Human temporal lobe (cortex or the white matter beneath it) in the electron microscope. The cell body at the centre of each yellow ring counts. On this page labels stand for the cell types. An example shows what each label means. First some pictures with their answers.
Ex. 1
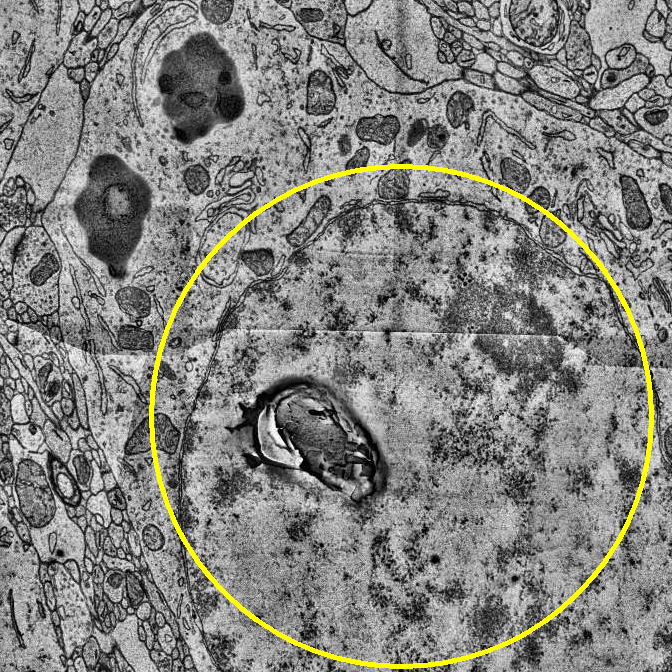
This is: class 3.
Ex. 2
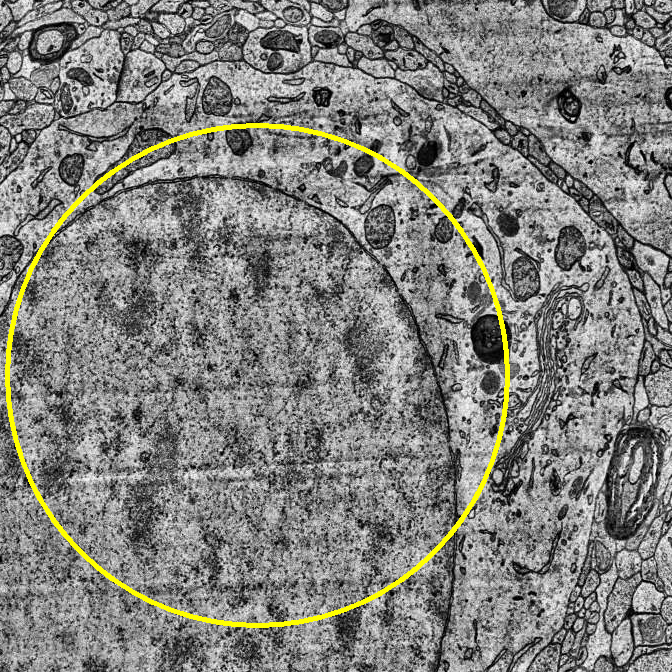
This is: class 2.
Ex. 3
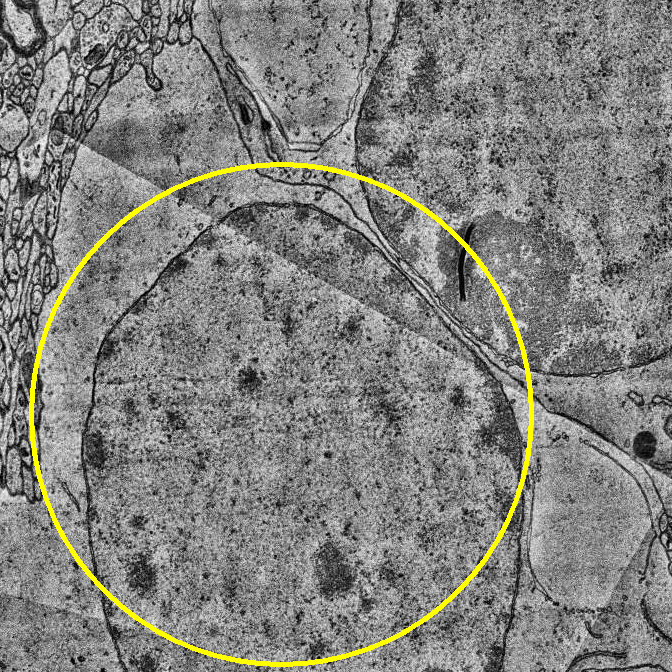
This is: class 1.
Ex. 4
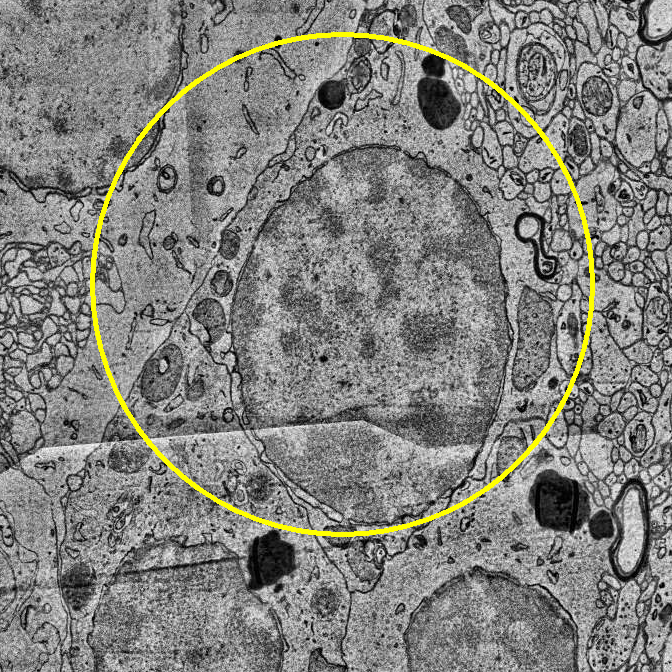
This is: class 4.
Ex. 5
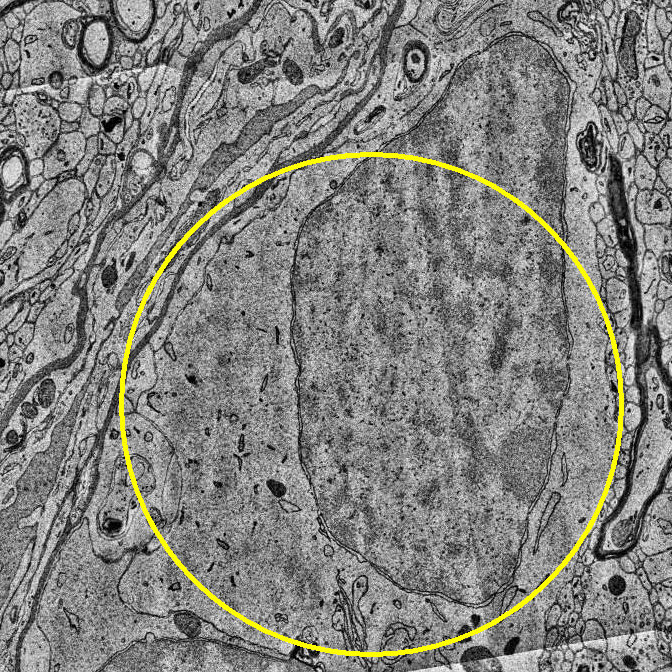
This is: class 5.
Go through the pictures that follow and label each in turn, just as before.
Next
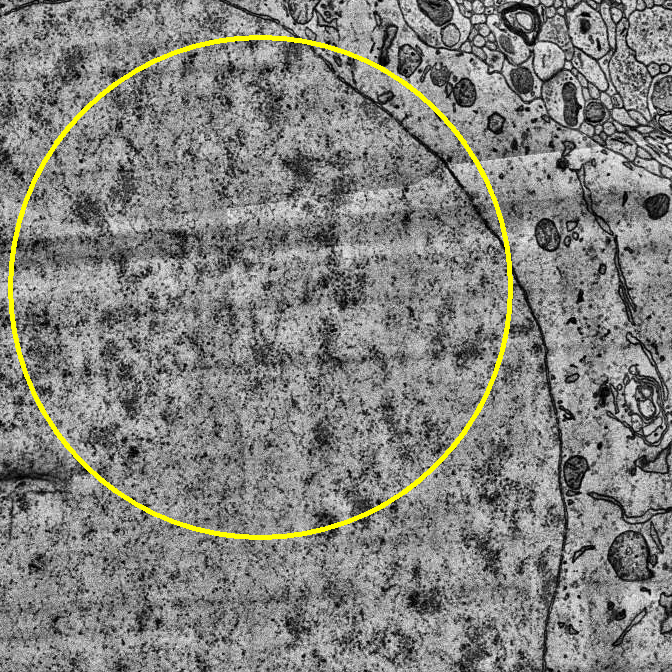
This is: class 2.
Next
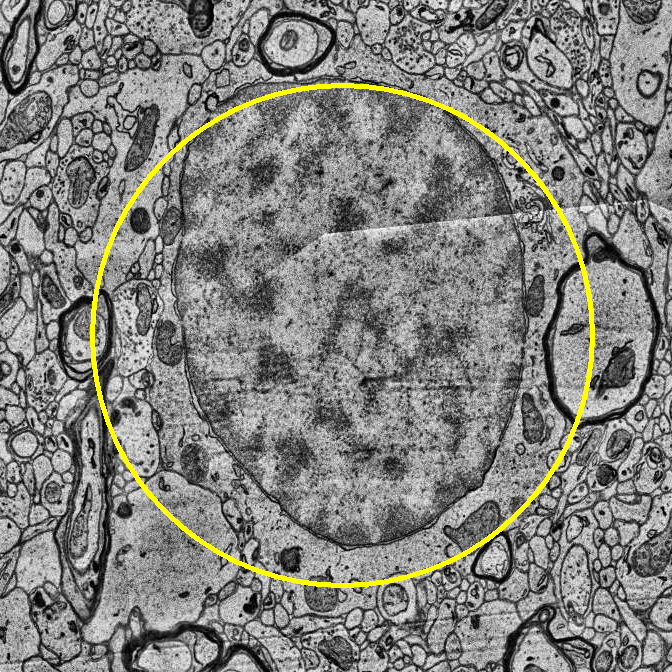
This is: class 4.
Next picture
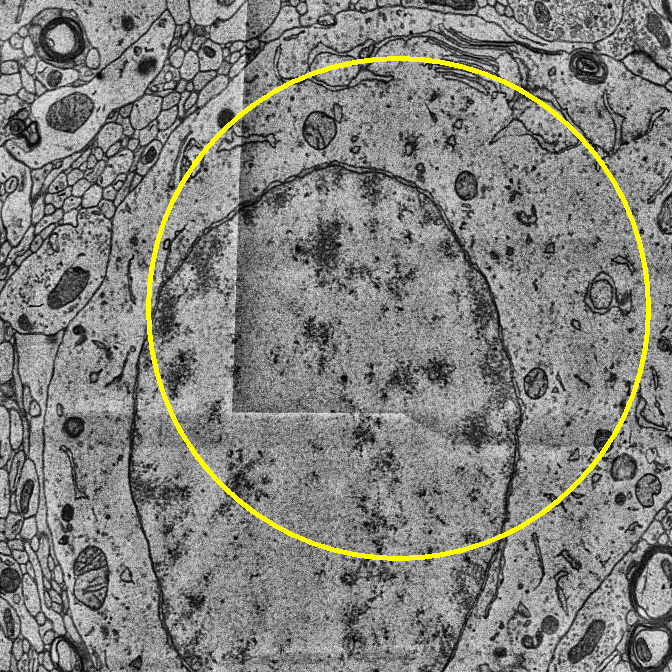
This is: class 2.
